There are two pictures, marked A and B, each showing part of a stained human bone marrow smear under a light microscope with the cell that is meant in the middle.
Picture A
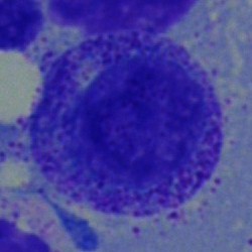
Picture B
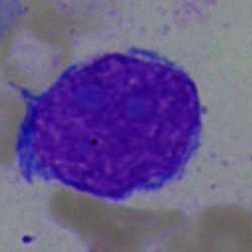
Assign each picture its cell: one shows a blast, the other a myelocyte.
A: myelocyte
B: blast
